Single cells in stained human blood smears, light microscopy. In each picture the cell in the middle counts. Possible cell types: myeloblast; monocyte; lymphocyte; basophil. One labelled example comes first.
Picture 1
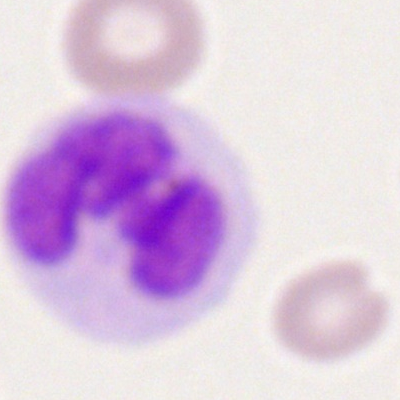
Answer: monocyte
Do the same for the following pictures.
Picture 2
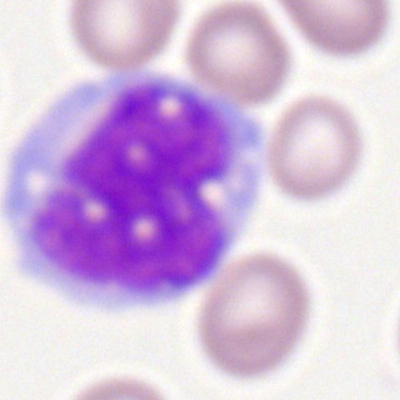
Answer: monocyte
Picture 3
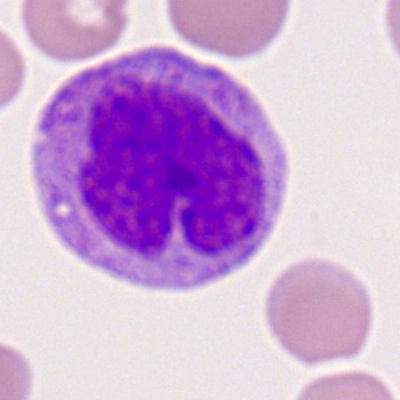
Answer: monocyte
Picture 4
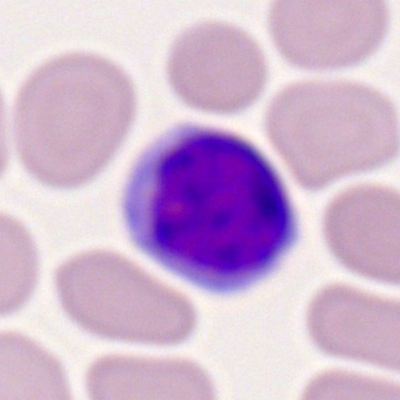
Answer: lymphocyte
